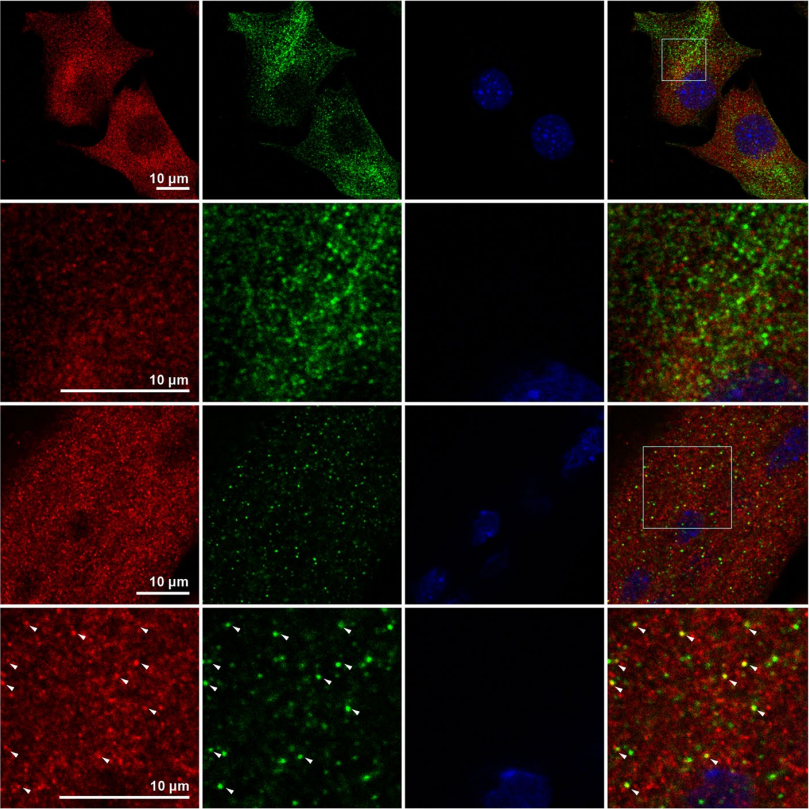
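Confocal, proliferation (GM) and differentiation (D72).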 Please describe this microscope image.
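In the top row, two spread cells each have a single round blue nucleus, and fine granular red and green label fills their cytoplasm. In the lower rows, a larger cell area shows fine granular red label throughout the cytoplasm and many discrete bright green dots. In the enlarged view, white arrowheads point to dots that appear in both channels and look yellow in the merged image.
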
